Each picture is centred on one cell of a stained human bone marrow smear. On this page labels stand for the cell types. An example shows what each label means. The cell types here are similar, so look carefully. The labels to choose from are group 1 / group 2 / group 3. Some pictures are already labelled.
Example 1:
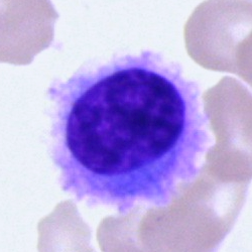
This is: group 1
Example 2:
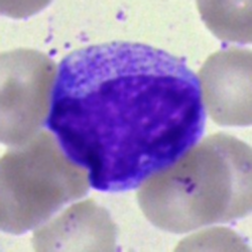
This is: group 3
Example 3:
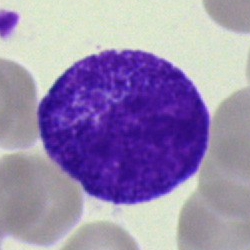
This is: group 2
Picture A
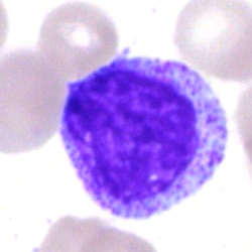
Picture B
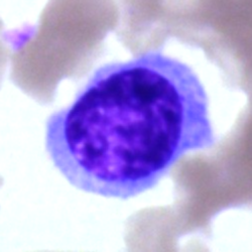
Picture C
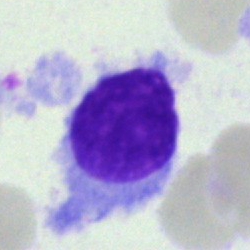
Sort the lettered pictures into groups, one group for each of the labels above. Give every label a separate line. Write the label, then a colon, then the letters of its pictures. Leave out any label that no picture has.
group 1: B, C
group 3: A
